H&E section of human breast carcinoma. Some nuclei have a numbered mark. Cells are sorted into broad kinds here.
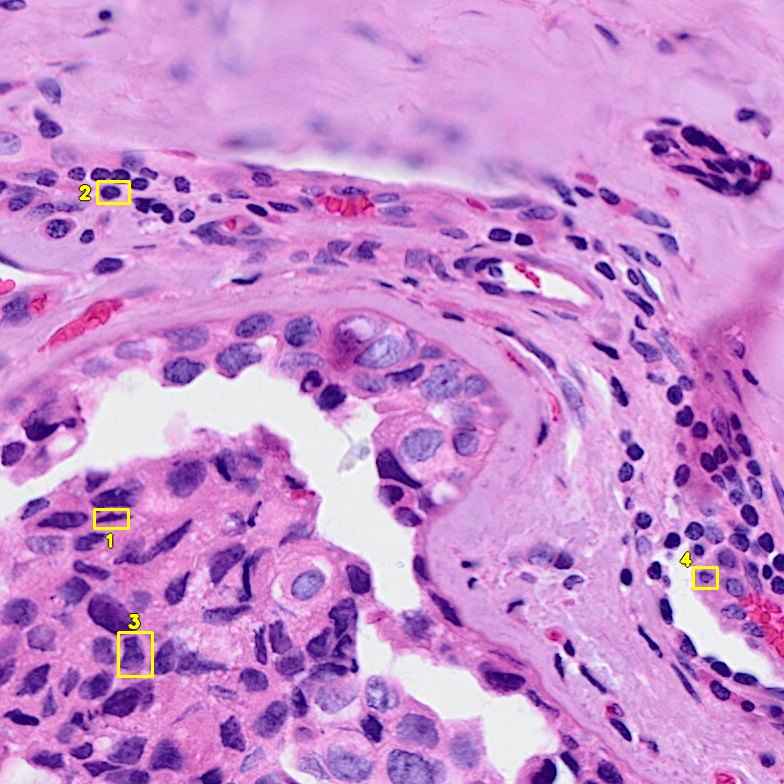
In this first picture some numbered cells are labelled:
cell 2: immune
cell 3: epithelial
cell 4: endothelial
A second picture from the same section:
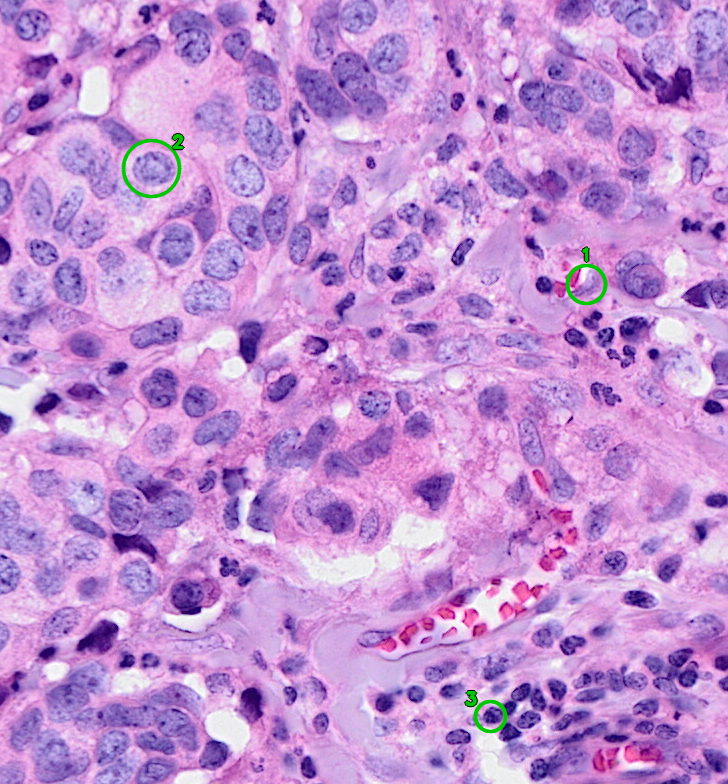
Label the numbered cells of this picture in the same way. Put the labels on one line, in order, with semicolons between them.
endothelial; epithelial; immune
